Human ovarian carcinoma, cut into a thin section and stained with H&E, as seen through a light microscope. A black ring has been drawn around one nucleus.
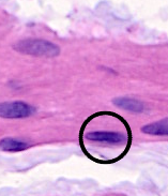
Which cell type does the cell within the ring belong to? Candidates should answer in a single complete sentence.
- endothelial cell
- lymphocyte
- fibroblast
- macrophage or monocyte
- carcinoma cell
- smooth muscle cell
In this preparation, the cell within the ring is a smooth muscle cell.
